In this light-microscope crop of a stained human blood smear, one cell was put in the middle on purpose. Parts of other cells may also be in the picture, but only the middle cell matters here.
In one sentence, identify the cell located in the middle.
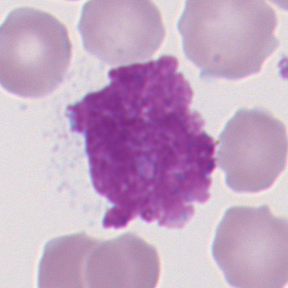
The cell in the exact centre of the crop is a smudge cell.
